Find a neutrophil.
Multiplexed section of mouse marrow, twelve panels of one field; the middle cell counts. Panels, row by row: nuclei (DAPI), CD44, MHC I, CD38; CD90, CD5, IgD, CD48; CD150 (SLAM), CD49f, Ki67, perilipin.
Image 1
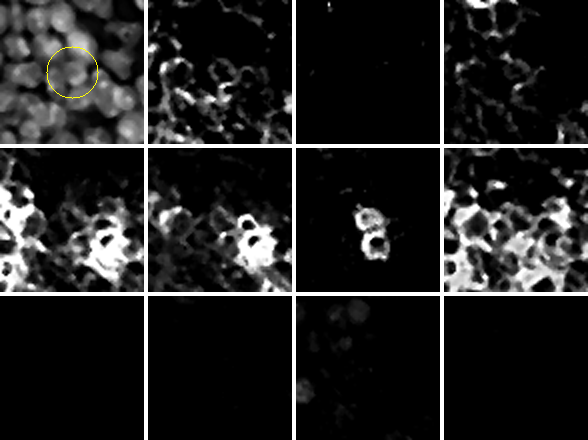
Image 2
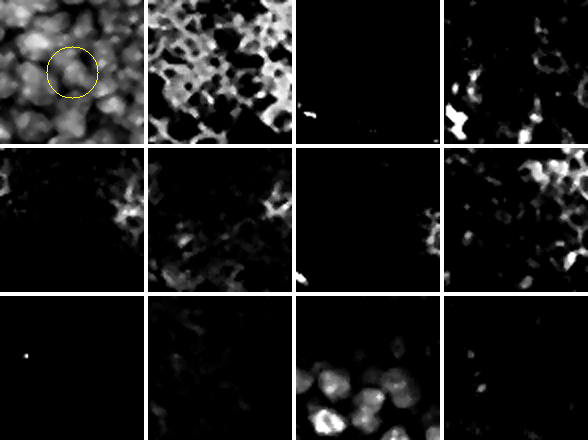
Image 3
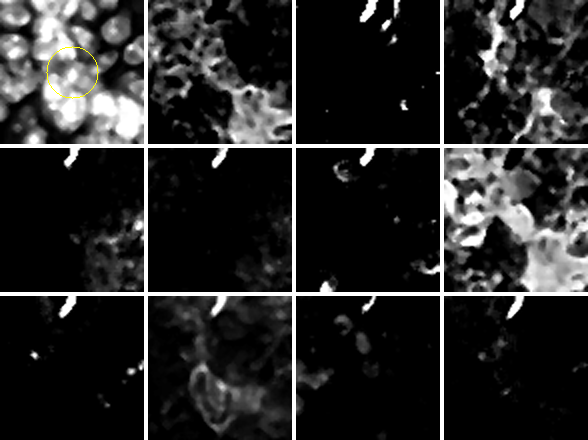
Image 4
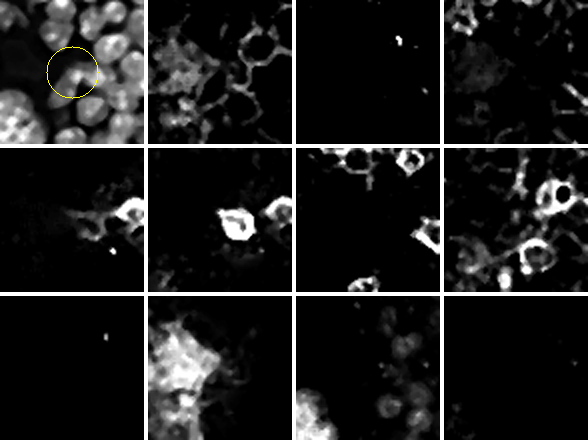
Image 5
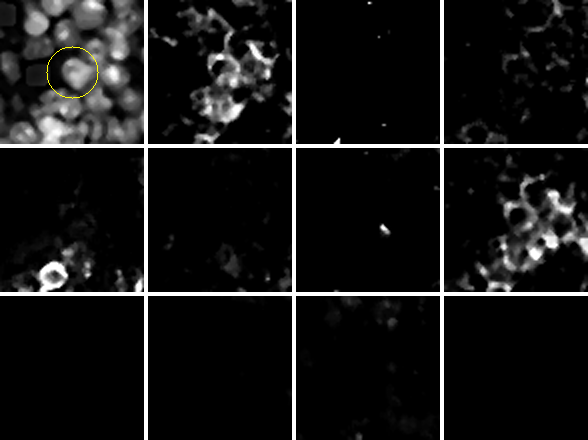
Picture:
5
